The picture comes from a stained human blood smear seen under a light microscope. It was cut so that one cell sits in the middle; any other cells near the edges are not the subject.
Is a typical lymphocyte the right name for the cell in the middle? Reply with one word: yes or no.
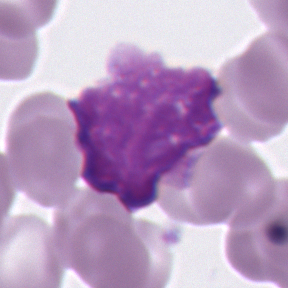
no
